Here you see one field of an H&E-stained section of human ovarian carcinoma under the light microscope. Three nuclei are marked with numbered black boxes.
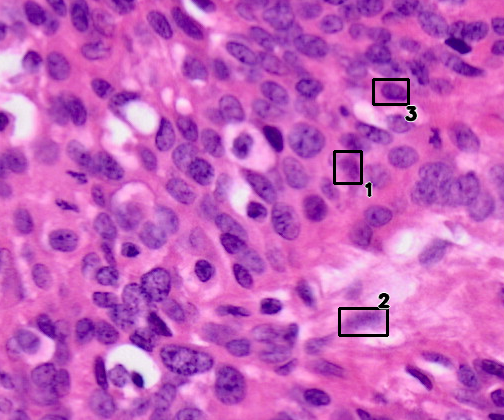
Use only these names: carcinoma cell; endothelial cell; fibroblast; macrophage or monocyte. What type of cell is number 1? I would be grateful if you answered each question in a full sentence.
Within this field of view, the cell labelled 1 is a carcinoma cell.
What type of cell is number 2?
In this section, number 2 marks a fibroblast.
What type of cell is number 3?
The cell carrying label 3 is identified as a carcinoma cell.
